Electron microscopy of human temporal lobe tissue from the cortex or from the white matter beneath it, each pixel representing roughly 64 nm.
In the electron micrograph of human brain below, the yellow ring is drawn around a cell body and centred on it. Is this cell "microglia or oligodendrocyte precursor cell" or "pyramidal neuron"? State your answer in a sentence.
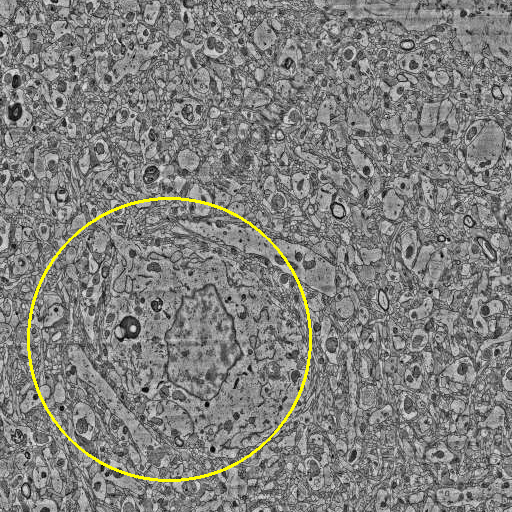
The cell in the middle of the ring is a pyramidal neuron.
